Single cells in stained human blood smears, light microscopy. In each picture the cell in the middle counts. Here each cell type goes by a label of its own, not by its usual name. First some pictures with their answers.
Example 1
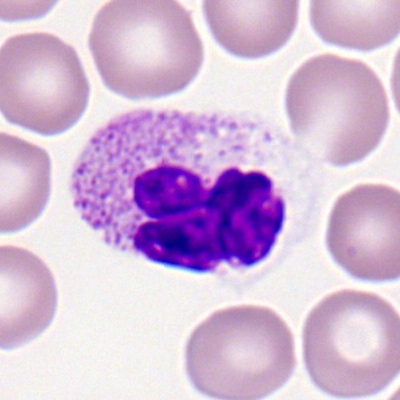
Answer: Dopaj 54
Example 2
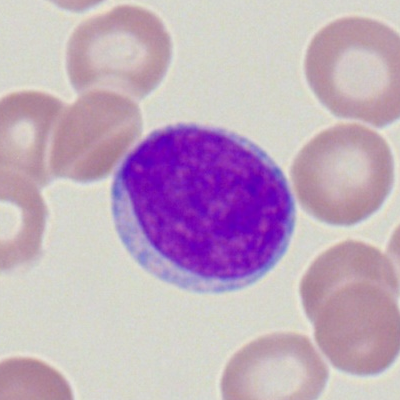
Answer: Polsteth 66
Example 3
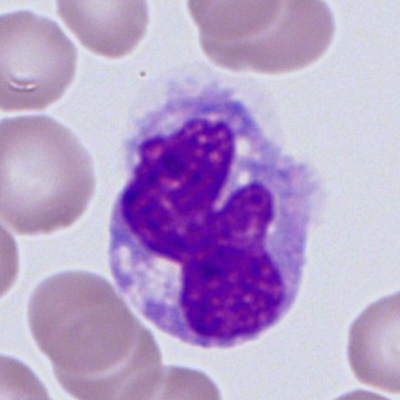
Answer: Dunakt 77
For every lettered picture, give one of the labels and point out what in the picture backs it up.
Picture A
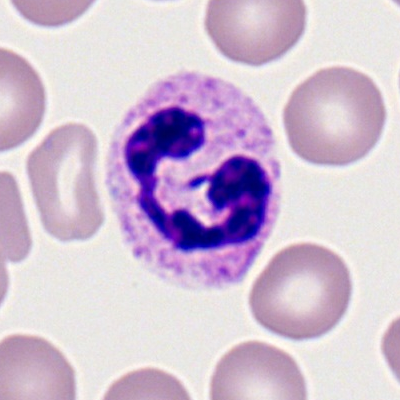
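Dopaj 54. The nucleus is a curved band that wraps around a central patch of cytoplasm.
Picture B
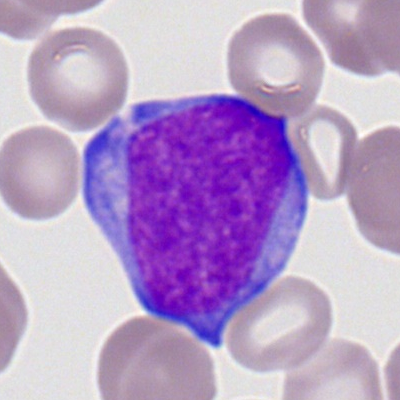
Polsteth 66. The cytoplasm stains a deep blue.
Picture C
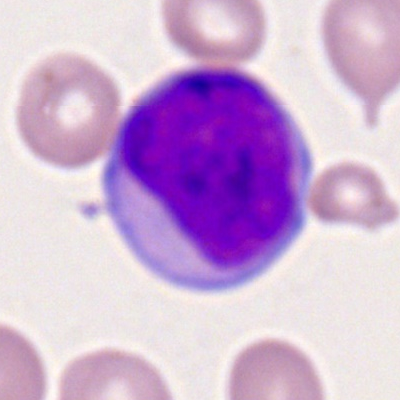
Polsteth 66. The nucleus fills most of the cell and sits toward the upper right.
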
